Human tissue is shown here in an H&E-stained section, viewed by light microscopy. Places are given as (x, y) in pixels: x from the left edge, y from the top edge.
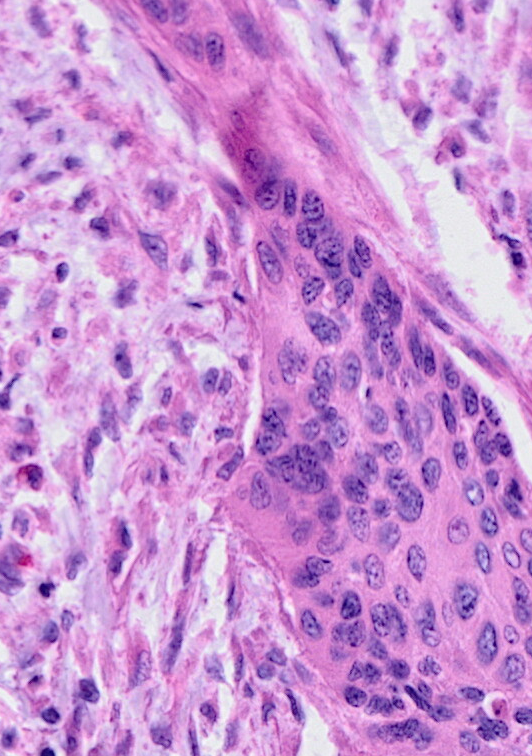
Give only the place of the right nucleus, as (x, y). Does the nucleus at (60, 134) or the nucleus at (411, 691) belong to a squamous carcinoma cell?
(411, 691)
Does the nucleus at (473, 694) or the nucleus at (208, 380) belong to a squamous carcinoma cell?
(473, 694)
